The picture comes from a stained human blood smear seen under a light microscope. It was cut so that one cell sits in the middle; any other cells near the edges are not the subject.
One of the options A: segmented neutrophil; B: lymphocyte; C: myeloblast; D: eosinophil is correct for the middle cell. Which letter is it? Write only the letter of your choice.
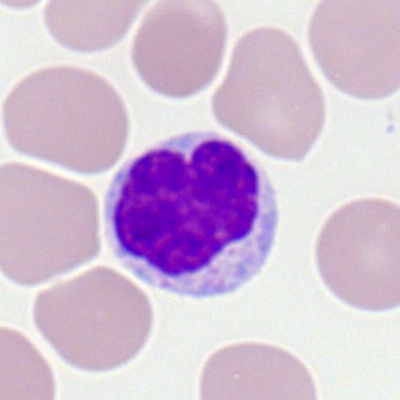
B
